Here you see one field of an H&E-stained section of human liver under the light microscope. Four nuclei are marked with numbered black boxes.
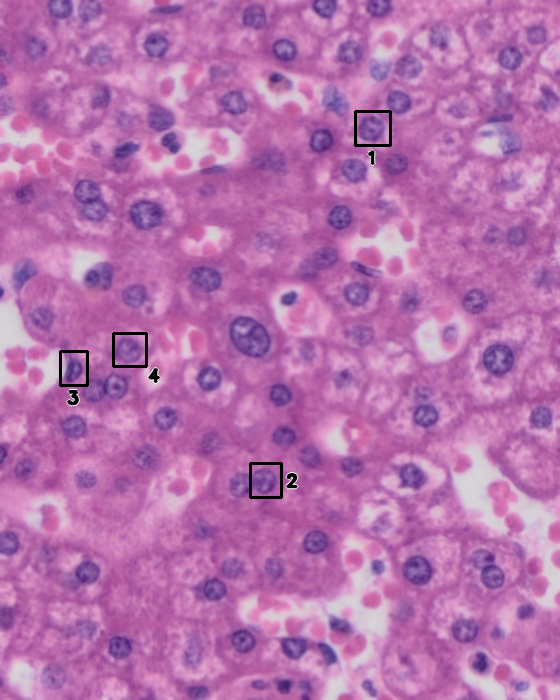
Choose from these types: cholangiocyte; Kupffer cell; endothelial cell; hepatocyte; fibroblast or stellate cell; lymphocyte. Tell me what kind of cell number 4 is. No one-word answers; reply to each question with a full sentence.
Cell 4 in the field of view is a hepatocyte.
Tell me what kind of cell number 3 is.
The marked cell with the number 3 is recognised as a fibroblast or stellate cell.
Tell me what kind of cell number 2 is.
Marked with the number 2, this cell is a hepatocyte.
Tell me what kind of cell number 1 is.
The cell identified by number 1 is a hepatocyte.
